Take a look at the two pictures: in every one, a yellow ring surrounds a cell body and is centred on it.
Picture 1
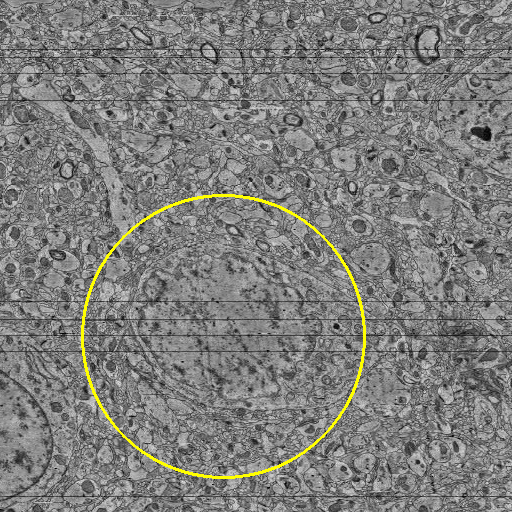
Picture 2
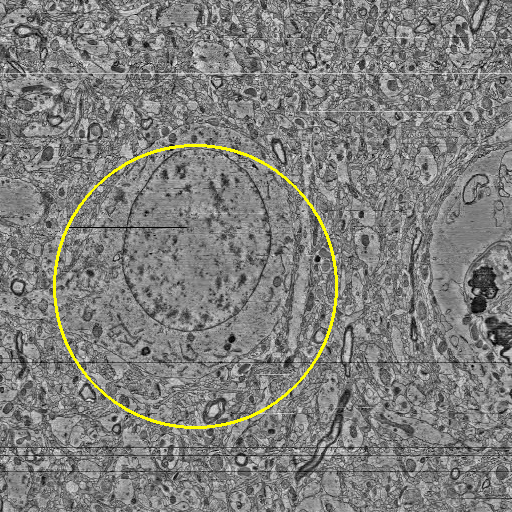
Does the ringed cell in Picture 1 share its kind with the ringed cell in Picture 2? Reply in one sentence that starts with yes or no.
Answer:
No, the two centred cells, one per picture, are of two kinds.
